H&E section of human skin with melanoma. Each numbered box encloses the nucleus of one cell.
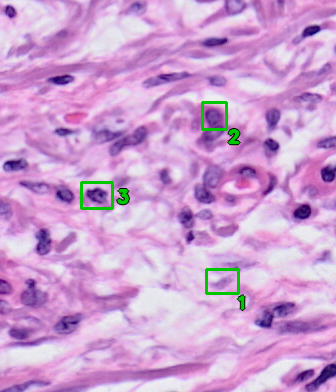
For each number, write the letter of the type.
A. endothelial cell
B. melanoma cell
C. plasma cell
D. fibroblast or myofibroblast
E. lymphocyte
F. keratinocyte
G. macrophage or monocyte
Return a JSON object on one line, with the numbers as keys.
{"1": "D", "2": "A", "3": "C"}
